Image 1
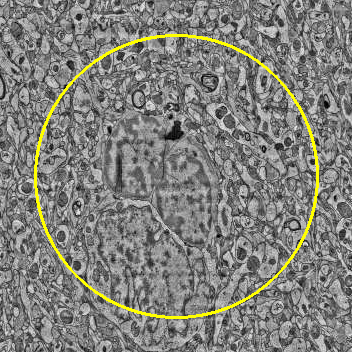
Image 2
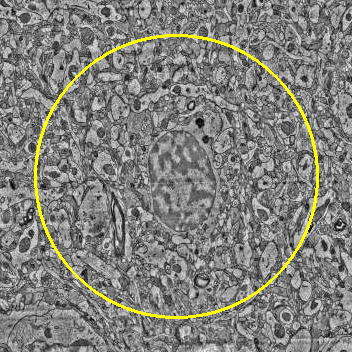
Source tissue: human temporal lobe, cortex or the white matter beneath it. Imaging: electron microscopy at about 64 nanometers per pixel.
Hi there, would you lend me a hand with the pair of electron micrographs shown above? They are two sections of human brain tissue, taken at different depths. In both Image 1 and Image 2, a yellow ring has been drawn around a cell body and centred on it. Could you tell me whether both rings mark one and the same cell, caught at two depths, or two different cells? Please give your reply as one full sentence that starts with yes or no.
No, in this micrograph the two rings mark two different cells.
